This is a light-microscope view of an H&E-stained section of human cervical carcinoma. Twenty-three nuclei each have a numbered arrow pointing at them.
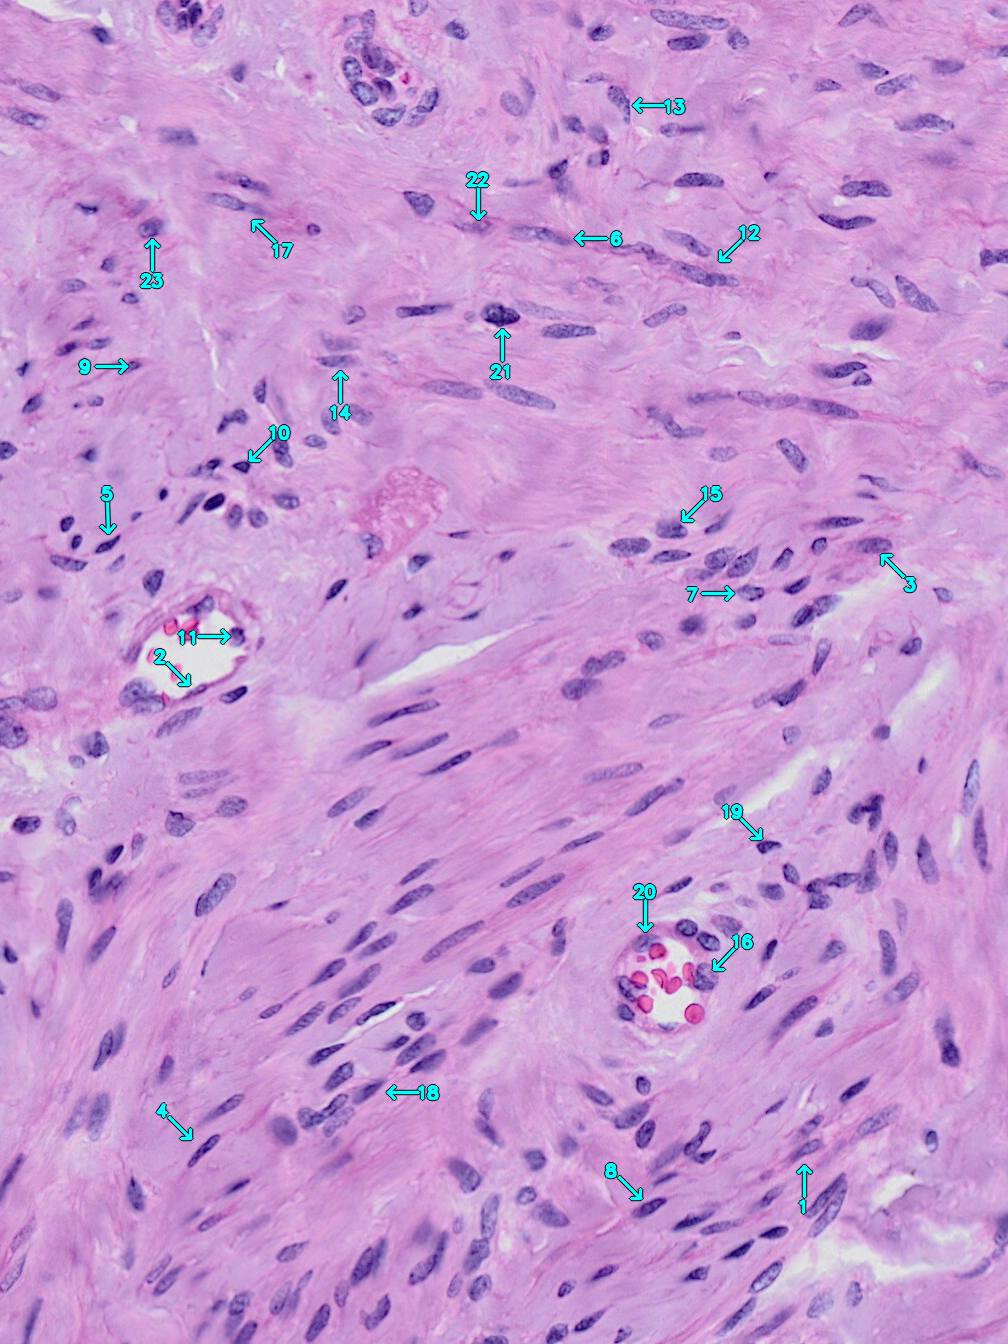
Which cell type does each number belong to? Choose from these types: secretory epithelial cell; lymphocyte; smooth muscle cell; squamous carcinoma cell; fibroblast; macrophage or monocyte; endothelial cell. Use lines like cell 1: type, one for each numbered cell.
cell 1: smooth muscle cell
cell 2: endothelial cell
cell 3: smooth muscle cell
cell 4: fibroblast
cell 5: fibroblast
cell 6: smooth muscle cell
cell 7: fibroblast
cell 8: fibroblast
cell 9: smooth muscle cell
cell 10: fibroblast
cell 11: endothelial cell
cell 12: smooth muscle cell
cell 13: fibroblast
cell 14: fibroblast
cell 15: fibroblast
cell 16: endothelial cell
cell 17: smooth muscle cell
cell 18: fibroblast
cell 19: fibroblast
cell 20: endothelial cell
cell 21: lymphocyte
cell 22: smooth muscle cell
cell 23: smooth muscle cell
